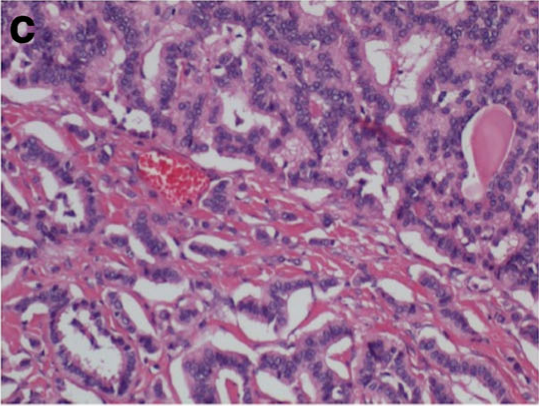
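The cells form glands with open lumina and anastomosing cords separated by bands of pink fibrous stroma. A blood vessel packed with red blood cells lies in the stroma, and a rounded pink homogeneous droplet sits within a lumen on one side.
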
